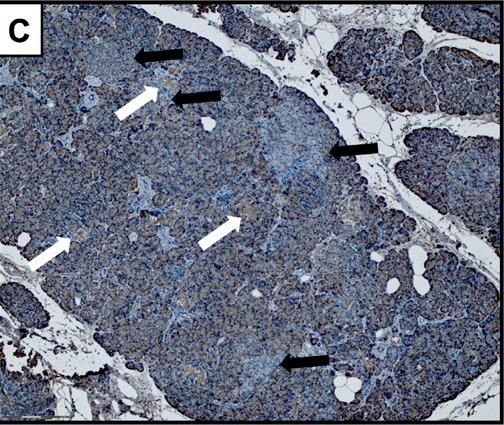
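Pancreatic-type lobules of tightly packed acini with a brownish-gray stain are divided by loose pale septa with fat cells. Within the lobules, irregular patches of acinar tissue look bluer and lack the brown tone, and a few small rounded clusters stand out as islets among the acini.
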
